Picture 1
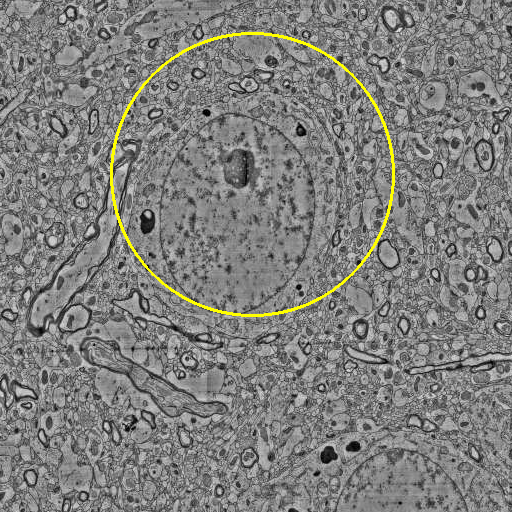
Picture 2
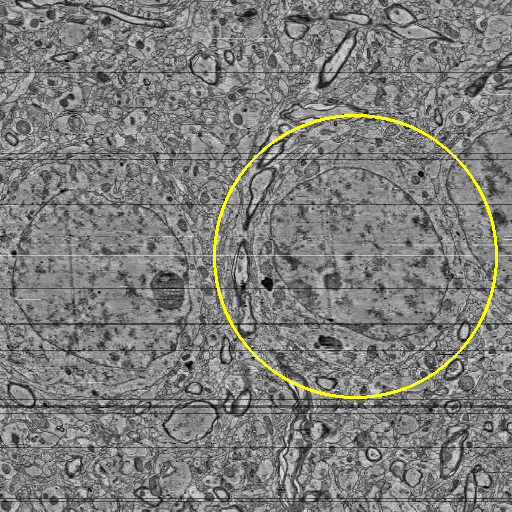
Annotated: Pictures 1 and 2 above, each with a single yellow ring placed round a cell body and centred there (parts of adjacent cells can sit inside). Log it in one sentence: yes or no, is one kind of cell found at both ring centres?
Yes, the ring centres of the two pictures hold cells of one kind.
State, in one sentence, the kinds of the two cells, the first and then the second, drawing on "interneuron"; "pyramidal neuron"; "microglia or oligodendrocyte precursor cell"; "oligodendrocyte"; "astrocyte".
Each cell, in the first picture and the second, is a pyramidal neuron.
